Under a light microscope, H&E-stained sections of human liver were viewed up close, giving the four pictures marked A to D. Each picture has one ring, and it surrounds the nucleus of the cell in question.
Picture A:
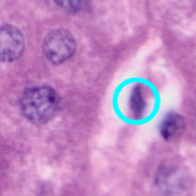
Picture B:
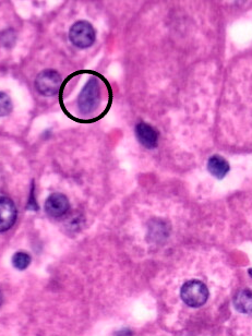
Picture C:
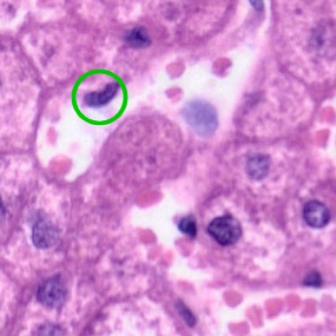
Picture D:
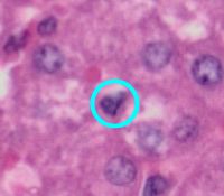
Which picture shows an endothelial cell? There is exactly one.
D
